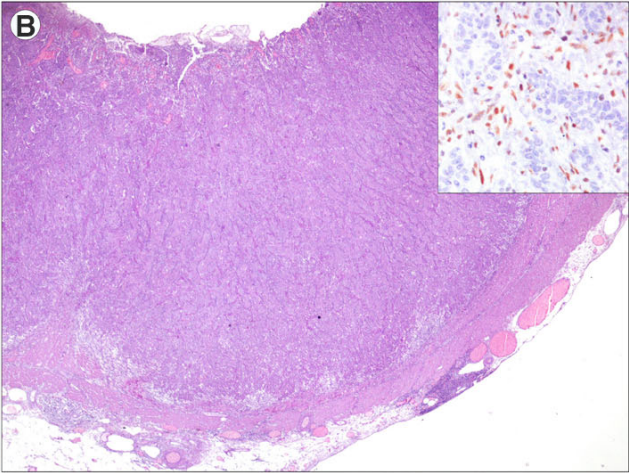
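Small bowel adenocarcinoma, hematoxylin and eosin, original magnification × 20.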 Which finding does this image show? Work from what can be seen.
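A pushing border. The tumor forms a large rounded mass with a smooth, well-delimited outer edge. The edge abuts the surrounding tissue without irregular infiltrating strands.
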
